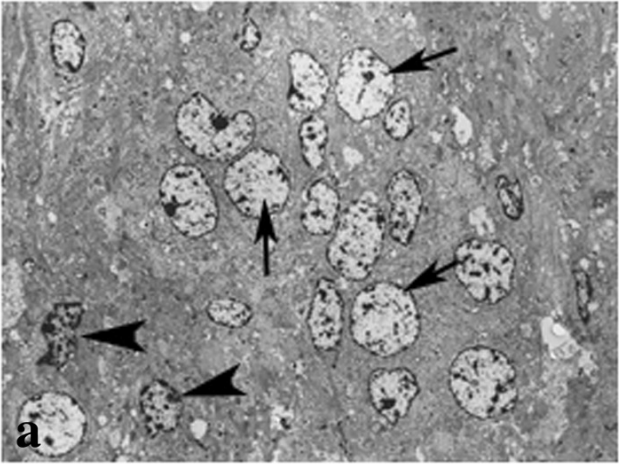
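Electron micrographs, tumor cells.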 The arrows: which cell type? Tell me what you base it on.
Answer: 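The arrows point to round to oval nuclei. These nuclei have pale, finely dispersed chromatin with small dark clumps. The answer: round or polygonal cells with round nuclei and moderately clear cytoplasm.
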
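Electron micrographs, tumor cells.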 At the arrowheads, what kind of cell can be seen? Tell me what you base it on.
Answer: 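Spindle cells with irregular nuclei and dark cytoplasm. The arrowheads point to smaller nuclei with irregular, notched outlines. These nuclei have darker, clumped chromatin.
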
